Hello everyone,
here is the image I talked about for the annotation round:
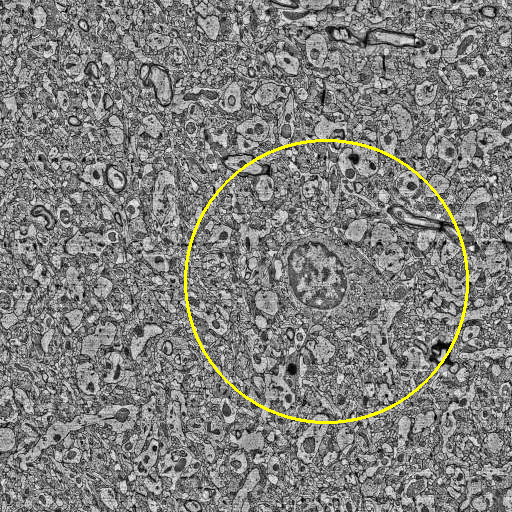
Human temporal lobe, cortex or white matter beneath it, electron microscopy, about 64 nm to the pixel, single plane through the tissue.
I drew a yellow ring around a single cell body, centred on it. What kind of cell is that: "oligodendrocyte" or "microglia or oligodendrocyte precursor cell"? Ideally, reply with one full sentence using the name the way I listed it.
The cell your yellow ring is centred on is an oligodendrocyte, going by your list.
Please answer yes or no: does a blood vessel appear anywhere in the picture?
No, the image shows no blood vessel.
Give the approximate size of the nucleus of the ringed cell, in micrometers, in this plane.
The ringed cell's nucleus is about 4 micrometres across in this plane.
